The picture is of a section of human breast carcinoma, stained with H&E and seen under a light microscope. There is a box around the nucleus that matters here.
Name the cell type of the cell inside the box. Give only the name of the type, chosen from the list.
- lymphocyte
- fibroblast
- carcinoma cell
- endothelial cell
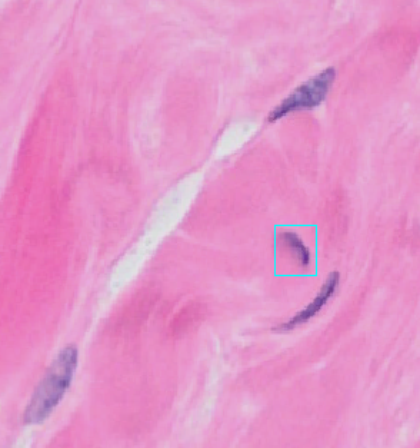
fibroblast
